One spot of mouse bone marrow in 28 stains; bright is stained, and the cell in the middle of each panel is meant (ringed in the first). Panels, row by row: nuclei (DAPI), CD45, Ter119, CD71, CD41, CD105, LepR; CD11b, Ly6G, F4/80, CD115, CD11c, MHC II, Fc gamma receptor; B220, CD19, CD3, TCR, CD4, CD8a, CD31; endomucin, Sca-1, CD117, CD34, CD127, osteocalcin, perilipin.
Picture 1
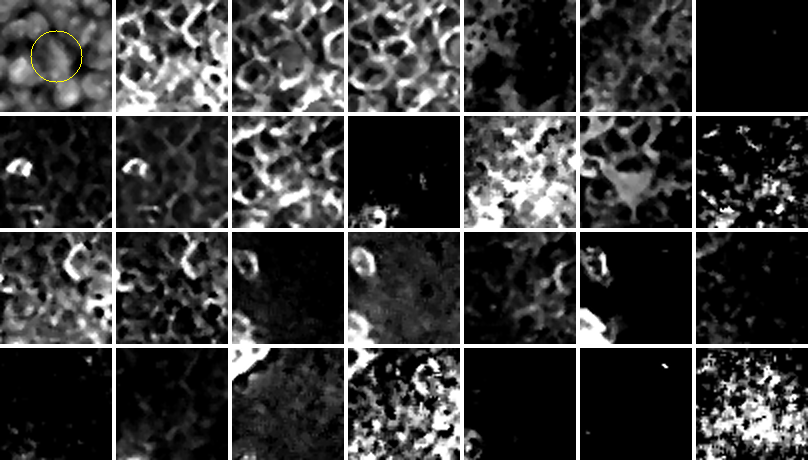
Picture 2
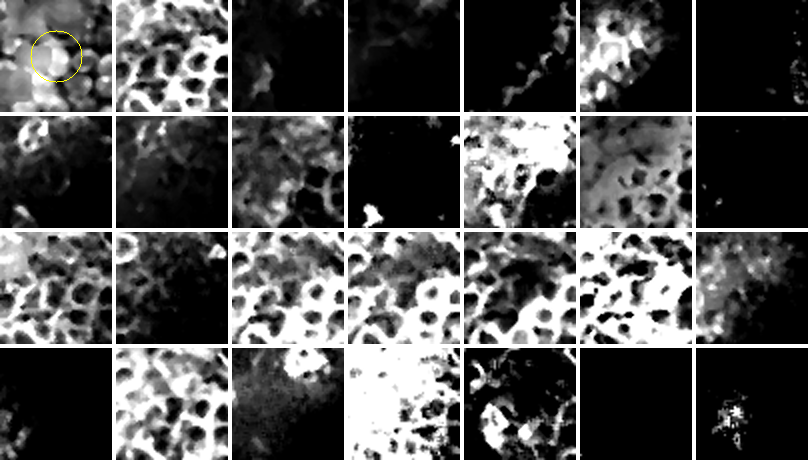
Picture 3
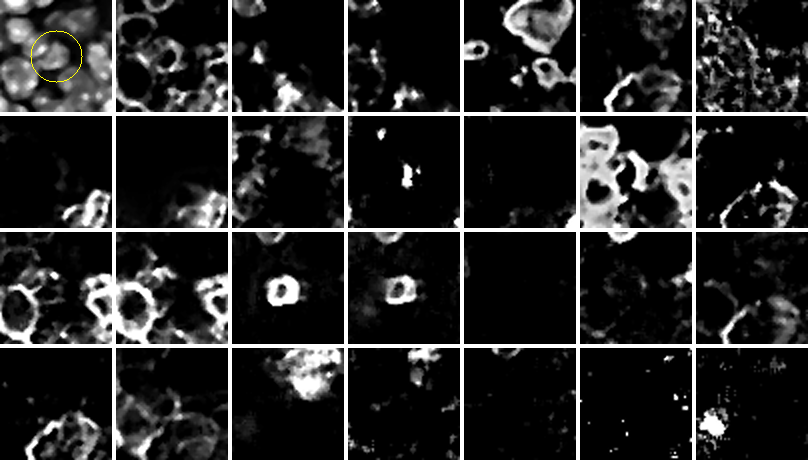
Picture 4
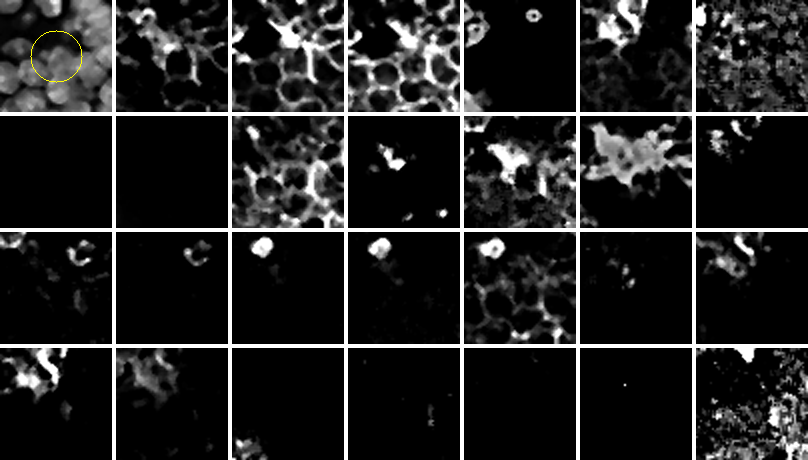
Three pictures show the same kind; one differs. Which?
Picture 3: a double-negative T cell, while the others are conventional dendritic cells.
